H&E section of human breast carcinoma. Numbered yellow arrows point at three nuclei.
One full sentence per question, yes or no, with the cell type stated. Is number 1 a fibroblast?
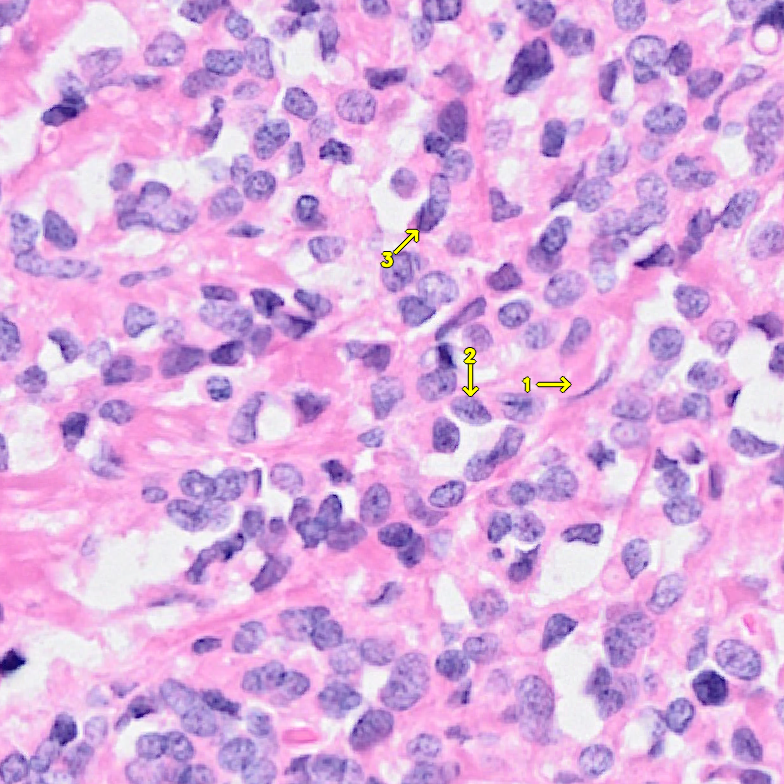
Yes, the cell sitting at number 1 is a fibroblast.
